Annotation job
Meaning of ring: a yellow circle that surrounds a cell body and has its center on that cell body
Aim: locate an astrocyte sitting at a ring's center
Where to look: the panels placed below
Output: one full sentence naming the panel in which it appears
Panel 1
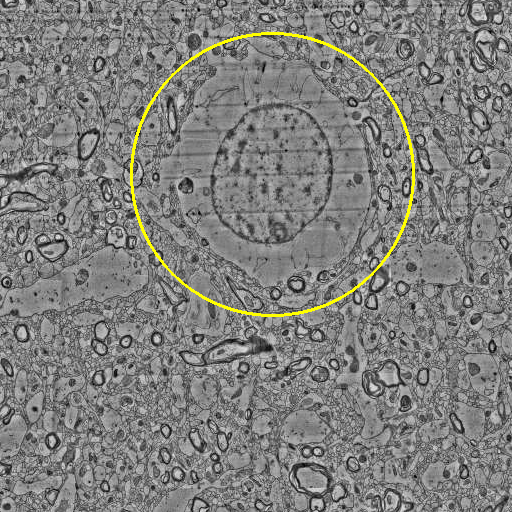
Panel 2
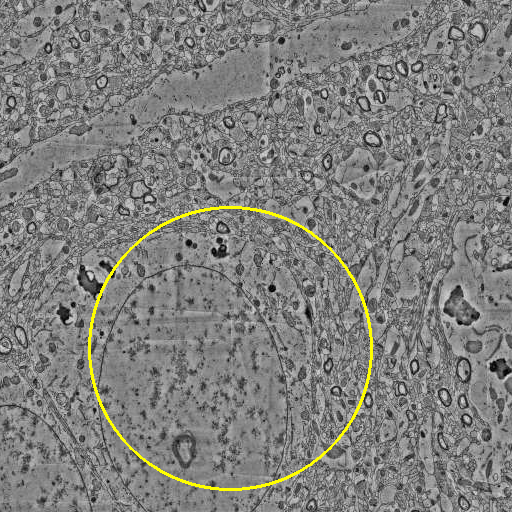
The cell at the center of the ring in panel 1 is the one sought.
